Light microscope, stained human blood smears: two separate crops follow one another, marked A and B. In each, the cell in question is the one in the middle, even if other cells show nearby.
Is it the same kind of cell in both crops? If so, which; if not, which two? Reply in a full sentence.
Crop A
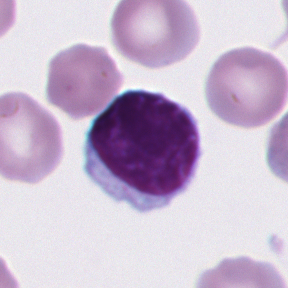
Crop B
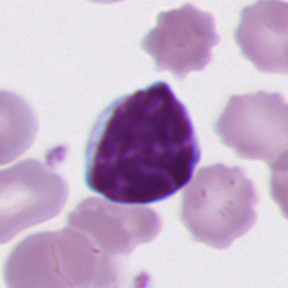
Yes, in both of the crops, the central cells are typical lymphocytes.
